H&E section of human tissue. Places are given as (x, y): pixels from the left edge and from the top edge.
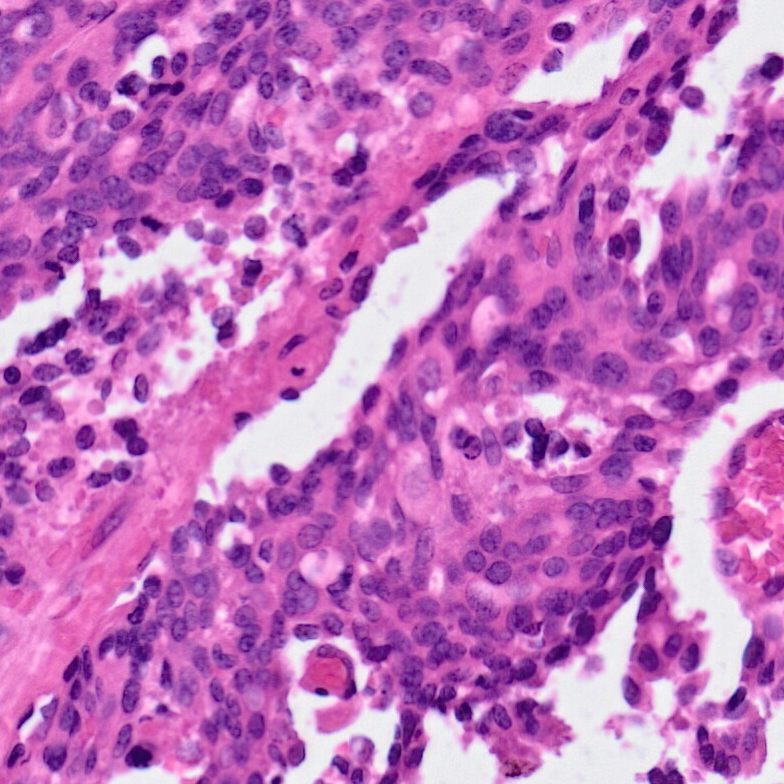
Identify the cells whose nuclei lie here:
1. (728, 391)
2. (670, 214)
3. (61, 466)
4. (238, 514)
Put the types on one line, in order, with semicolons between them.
carcinoma cell; carcinoma cell; macrophage or monocyte; carcinoma cell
